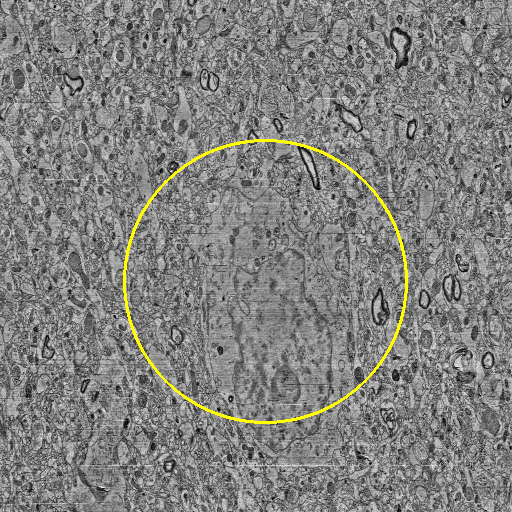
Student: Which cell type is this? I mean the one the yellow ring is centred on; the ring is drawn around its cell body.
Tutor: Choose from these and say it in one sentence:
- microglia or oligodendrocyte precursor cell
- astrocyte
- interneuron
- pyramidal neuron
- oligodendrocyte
The cell the ring is centred on is an interneuron.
